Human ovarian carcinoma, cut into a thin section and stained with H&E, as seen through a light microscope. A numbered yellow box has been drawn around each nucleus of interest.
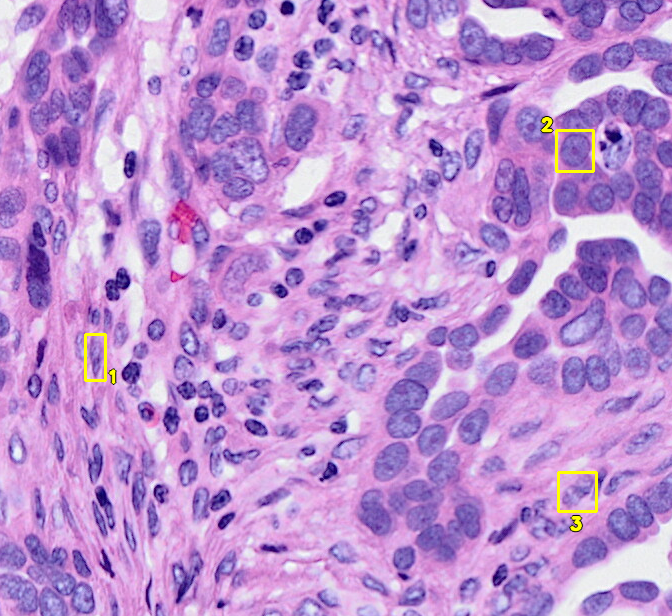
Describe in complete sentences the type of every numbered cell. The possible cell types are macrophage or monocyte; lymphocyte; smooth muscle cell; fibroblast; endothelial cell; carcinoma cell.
Cells 1 and 3 are fibroblasts. Cell 2 is a carcinoma cell.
